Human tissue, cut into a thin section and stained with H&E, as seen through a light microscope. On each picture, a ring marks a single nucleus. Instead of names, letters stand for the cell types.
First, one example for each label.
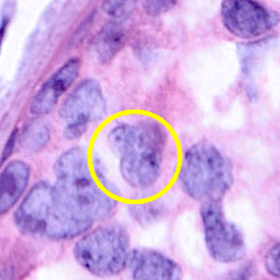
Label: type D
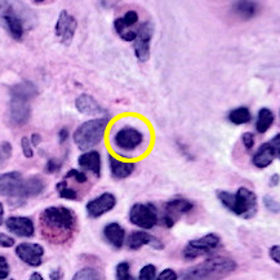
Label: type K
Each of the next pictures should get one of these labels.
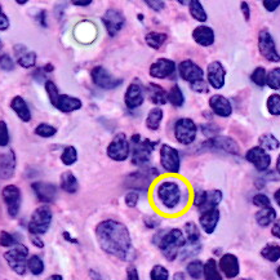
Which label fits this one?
type K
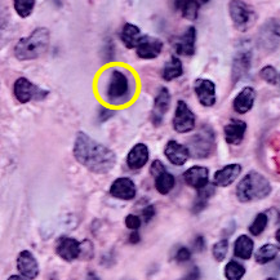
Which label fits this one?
type K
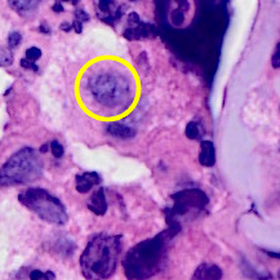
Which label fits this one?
type D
